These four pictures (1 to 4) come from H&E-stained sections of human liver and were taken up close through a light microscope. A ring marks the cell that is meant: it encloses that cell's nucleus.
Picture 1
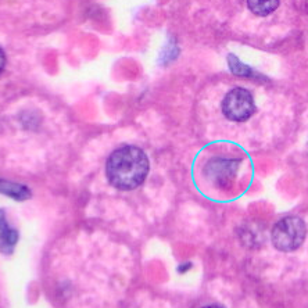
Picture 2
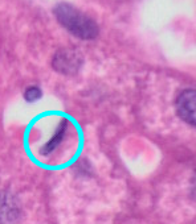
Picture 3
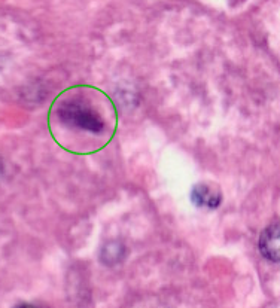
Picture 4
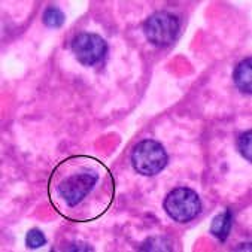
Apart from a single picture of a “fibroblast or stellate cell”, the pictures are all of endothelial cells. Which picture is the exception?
3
